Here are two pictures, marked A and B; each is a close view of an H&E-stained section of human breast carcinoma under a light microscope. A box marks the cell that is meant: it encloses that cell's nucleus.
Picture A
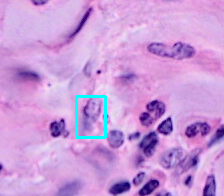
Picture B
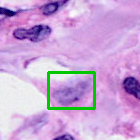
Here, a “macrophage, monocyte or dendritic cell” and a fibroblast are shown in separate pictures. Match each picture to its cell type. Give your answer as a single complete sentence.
Picture A shows a “macrophage, monocyte or dendritic cell” and picture B shows a fibroblast.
